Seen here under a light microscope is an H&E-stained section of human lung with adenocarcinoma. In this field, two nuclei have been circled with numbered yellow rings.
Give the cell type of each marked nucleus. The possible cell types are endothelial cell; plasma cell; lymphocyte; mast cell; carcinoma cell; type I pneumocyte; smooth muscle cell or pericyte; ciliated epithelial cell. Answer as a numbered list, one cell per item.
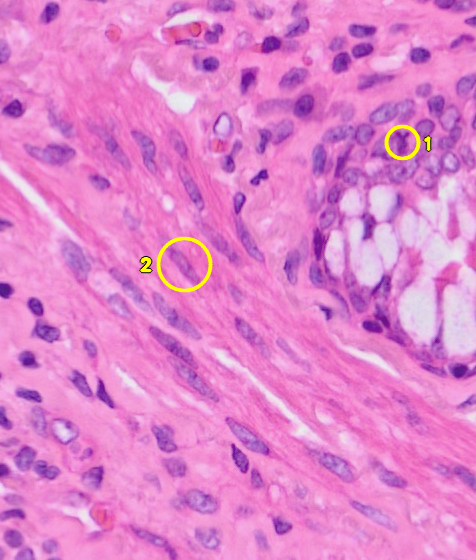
1. ciliated epithelial cell
2. smooth muscle cell or pericyte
